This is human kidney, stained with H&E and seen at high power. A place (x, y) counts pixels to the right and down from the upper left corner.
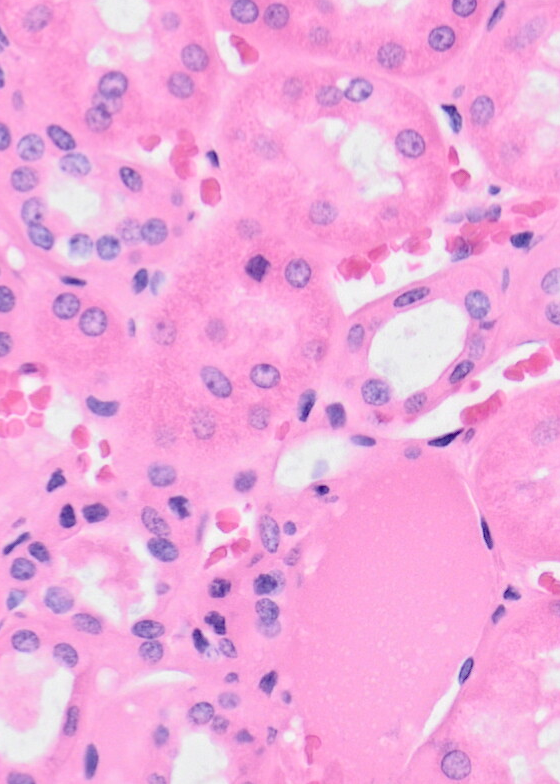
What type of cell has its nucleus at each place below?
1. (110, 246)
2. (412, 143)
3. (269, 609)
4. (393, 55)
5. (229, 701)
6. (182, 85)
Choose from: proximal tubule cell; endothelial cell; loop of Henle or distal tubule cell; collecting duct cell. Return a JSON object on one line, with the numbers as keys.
{"1": "collecting duct cell", "2": "proximal tubule cell", "3": "collecting duct cell", "4": "proximal tubule cell", "5": "collecting duct cell", "6": "proximal tubule cell"}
